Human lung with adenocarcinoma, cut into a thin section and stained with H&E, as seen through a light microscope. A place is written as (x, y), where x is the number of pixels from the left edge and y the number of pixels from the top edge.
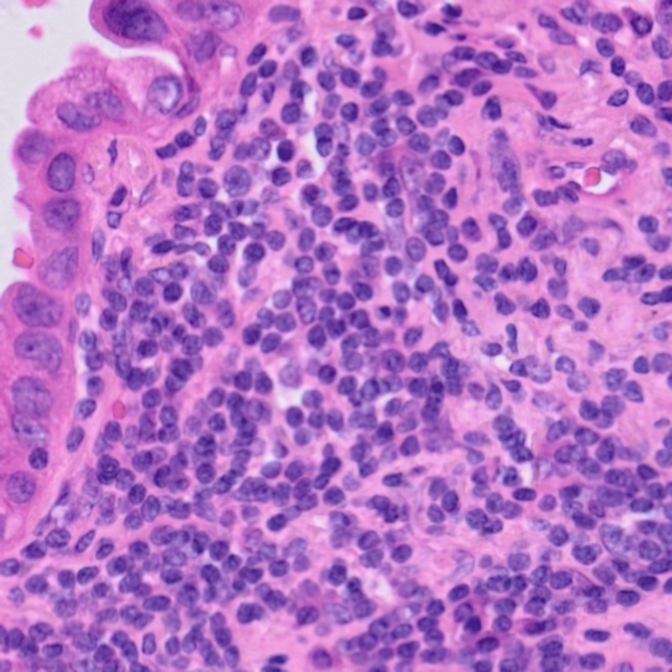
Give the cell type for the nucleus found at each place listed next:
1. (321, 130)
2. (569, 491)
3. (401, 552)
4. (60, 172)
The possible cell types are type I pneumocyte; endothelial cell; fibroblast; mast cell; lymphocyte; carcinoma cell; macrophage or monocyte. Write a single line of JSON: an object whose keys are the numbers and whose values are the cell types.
{"1": "lymphocyte", "2": "lymphocyte", "3": "lymphocyte", "4": "carcinoma cell"}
